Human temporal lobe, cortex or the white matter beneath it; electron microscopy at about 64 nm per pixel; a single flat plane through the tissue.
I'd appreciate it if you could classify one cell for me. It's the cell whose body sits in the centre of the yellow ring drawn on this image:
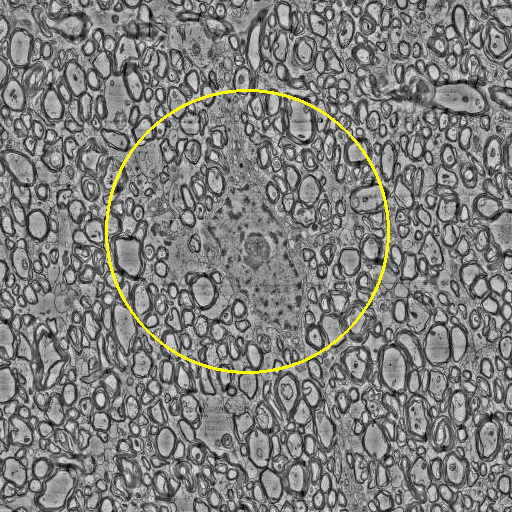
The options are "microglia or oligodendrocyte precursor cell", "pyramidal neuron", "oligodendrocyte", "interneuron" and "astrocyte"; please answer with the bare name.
astrocyte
